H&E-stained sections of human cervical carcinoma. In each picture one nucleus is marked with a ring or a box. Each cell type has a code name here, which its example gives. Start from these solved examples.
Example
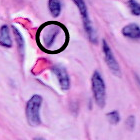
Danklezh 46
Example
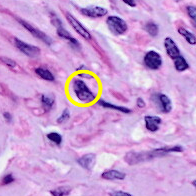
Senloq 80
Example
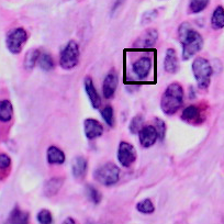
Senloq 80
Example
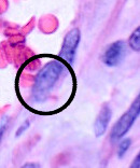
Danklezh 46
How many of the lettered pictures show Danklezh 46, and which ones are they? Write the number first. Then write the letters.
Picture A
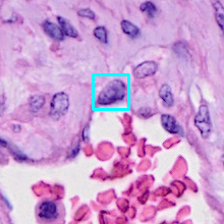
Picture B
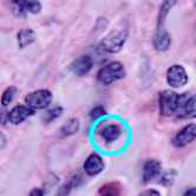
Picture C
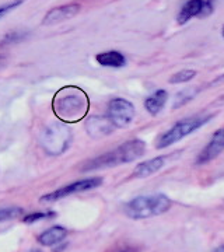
2, namely A, C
